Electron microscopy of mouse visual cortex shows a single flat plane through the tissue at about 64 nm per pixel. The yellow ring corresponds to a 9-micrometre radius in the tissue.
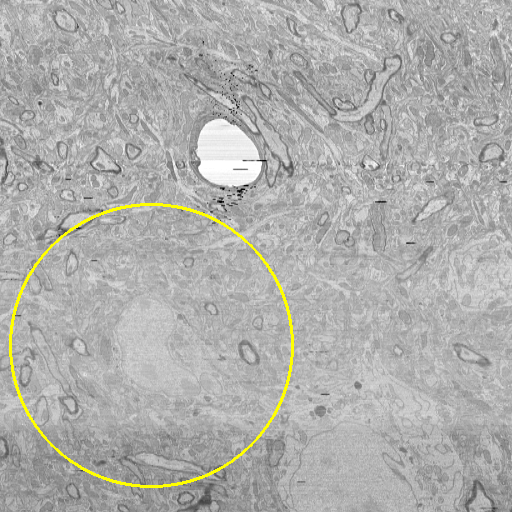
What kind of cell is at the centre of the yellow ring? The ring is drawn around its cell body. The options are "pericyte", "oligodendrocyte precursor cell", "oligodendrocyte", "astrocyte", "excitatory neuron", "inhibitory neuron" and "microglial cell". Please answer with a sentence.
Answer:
The yellow ring marks the cell body of an oligodendrocyte precursor cell.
